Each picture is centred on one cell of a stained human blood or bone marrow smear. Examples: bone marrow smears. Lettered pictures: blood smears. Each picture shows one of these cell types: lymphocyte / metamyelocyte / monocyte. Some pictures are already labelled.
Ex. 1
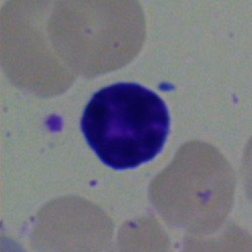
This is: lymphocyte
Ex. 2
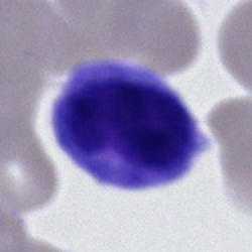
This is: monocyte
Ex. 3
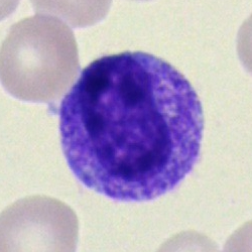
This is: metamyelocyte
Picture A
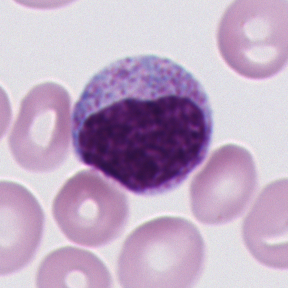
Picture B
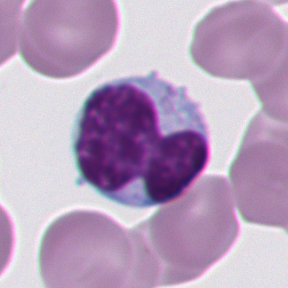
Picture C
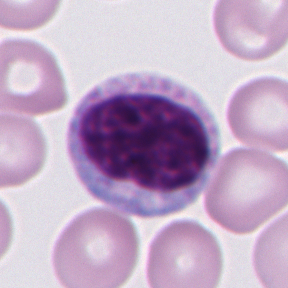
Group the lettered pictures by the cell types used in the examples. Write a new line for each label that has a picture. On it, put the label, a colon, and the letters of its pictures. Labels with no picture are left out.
lymphocyte: B
metamyelocyte: A, C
